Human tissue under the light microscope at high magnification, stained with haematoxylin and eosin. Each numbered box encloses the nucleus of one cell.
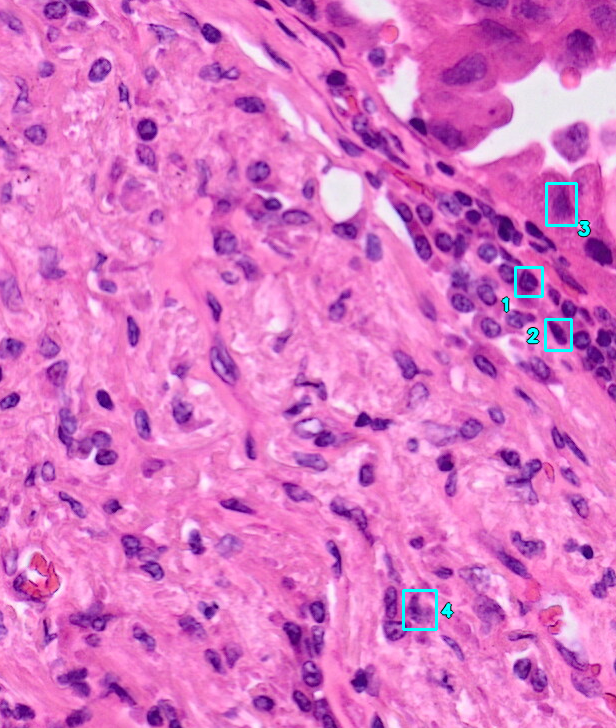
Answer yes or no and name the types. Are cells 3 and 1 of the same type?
No, cell 3 is a carcinoma cell; cell 1 is a plasma cell.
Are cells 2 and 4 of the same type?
Yes, that cells 2 and 4 are both plasma cells holds true.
